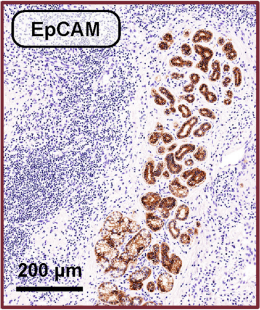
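A large lobular cluster of small glands fills the right part of the field, each gland lined by epithelial cells stained deep brown. The glands are numerous and closely packed, some with small lumens, others larger and paler toward the bottom of the cluster. To the left lies a dense field of small round blue nuclei, an inflammatory infiltrate, separated from the glands by loose tissue.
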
